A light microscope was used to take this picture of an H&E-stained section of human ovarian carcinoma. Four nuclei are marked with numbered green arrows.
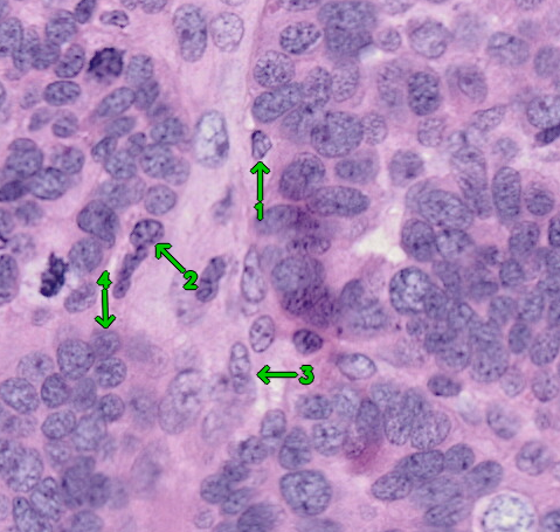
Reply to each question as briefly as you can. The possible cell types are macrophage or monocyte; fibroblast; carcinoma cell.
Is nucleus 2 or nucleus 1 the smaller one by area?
1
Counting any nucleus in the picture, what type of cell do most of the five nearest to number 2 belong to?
carcinoma cell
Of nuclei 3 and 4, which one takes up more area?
3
